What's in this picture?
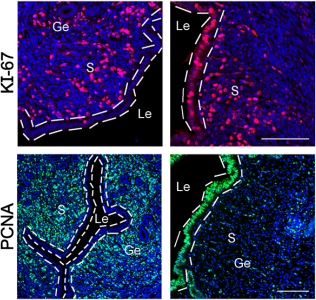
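In the left column the stained nuclei, red in the upper image and green in the lower, are scattered densely through the stroma, while the lining epithelium marked off by white dashed lines is largely free of them. In the right column the pattern is reversed: the lining epithelium between the dashed lines forms a continuous band of brightly stained nuclei, and the stroma holds far fewer.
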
